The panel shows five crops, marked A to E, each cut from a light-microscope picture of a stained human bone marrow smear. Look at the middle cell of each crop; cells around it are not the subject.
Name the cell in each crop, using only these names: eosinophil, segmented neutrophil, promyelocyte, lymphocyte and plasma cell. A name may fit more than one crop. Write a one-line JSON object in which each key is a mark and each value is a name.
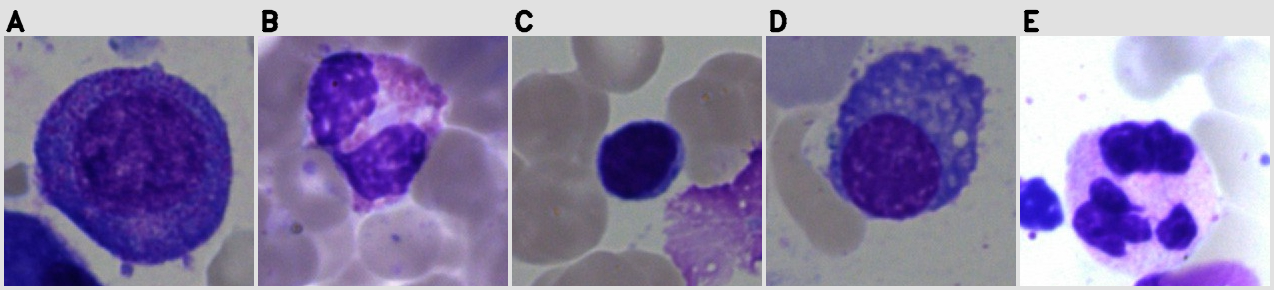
{"A": "promyelocyte", "B": "eosinophil", "C": "lymphocyte", "D": "plasma cell", "E": "segmented neutrophil"}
